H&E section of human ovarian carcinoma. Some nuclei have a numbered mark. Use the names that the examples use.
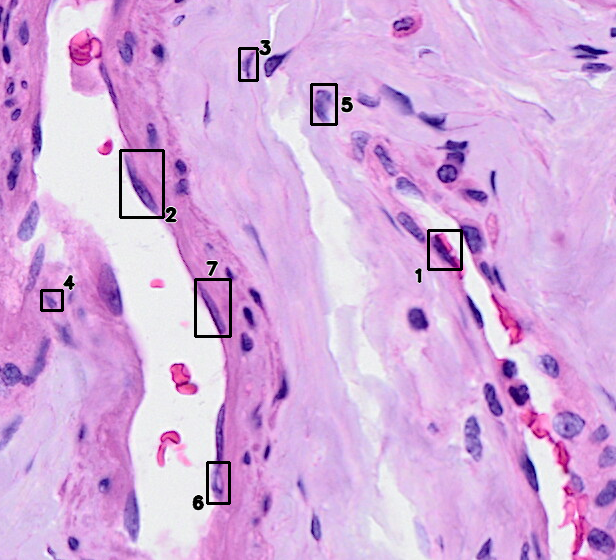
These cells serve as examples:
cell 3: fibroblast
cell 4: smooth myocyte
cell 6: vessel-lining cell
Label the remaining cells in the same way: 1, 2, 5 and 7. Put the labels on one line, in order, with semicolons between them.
vessel-lining cell; vessel-lining cell; fibroblast; vessel-lining cell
